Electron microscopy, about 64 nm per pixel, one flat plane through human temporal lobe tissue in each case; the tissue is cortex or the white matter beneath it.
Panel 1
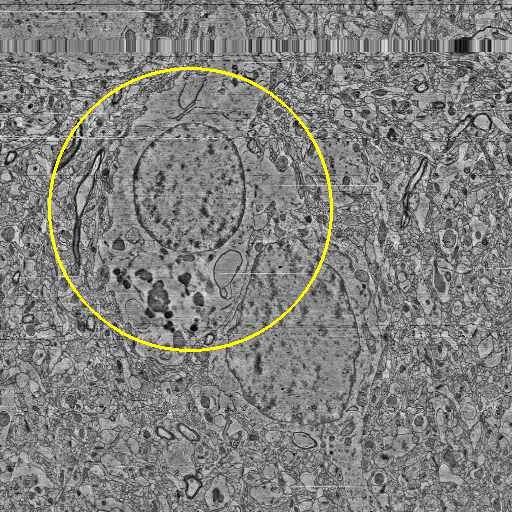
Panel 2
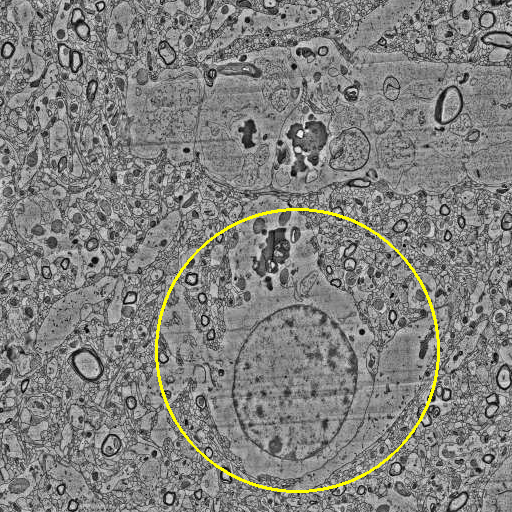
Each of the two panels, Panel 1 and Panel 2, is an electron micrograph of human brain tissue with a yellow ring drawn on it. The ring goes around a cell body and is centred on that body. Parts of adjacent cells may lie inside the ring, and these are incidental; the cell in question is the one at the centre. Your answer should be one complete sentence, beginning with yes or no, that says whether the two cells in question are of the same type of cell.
Yes, the two cells are of the same type.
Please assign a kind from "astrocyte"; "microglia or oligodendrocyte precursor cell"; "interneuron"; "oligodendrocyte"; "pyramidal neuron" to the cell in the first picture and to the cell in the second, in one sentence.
The ring centre holds an astrocyte in each of the two pictures.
